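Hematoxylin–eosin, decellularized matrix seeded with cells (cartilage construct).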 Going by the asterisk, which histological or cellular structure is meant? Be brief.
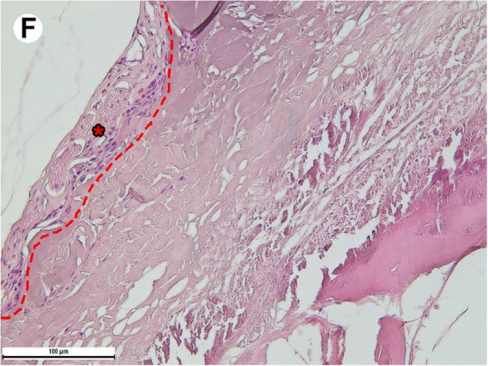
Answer: connective tissue capsule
